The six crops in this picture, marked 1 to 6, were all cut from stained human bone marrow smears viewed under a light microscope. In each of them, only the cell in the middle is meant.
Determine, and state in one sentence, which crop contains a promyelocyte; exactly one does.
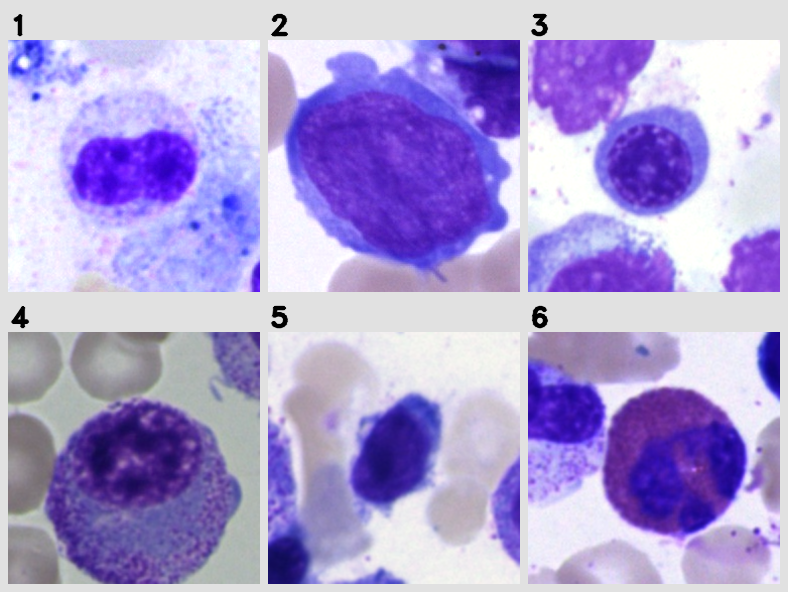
The crop showing a promyelocyte in this series is crop 4.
